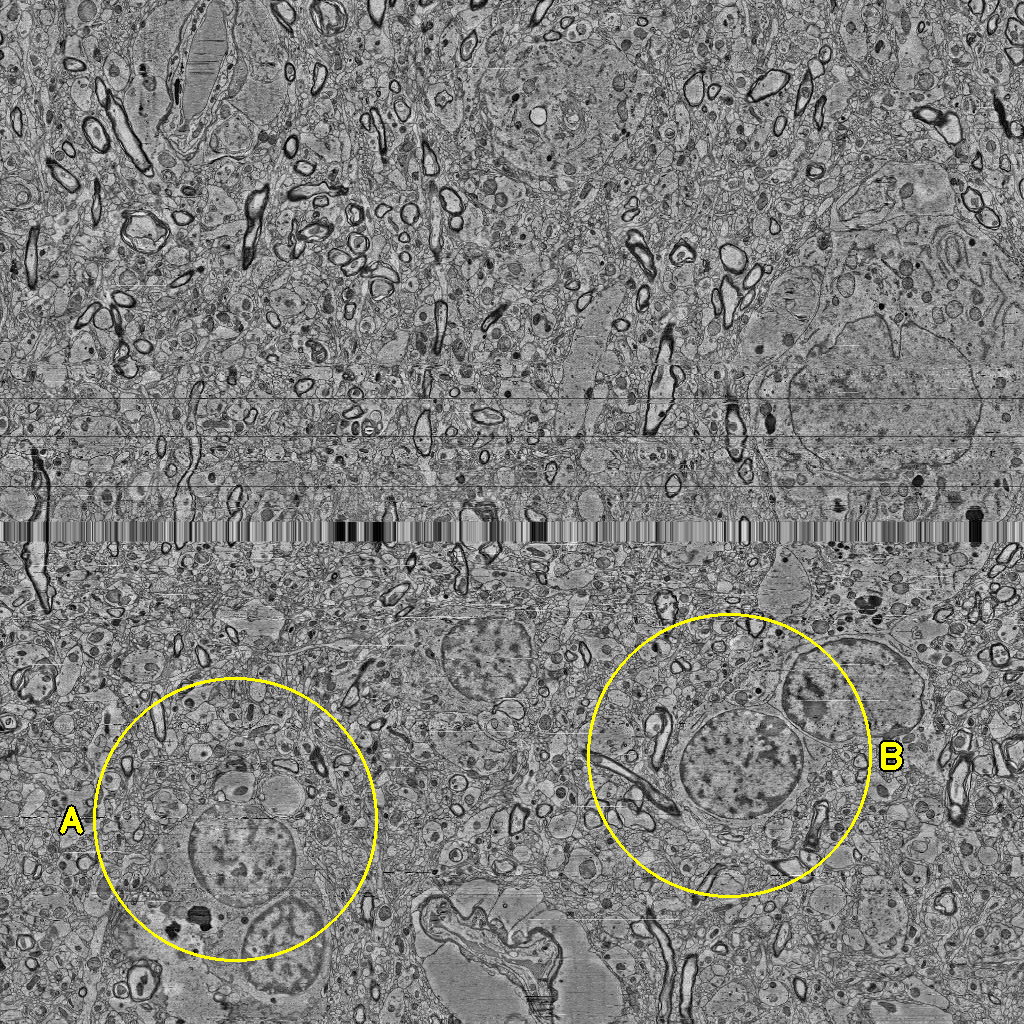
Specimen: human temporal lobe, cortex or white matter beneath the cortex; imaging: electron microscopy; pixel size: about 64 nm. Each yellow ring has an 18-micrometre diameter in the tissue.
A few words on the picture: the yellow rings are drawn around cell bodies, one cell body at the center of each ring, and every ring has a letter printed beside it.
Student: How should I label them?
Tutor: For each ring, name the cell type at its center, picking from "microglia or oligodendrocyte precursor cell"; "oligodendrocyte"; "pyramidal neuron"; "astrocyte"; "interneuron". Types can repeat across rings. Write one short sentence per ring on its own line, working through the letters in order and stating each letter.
In ring A, the central cell is an oligodendrocyte.
In ring B, the central cell is a microglial cell or oligodendrocyte precursor cell.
